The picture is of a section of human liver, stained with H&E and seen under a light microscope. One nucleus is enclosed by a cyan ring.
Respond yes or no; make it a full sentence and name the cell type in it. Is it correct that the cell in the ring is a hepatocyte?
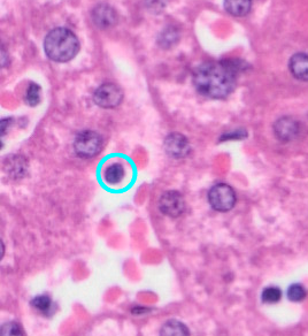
No, the cell in the ring is correctly named a lymphocyte; it is not a hepatocyte.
